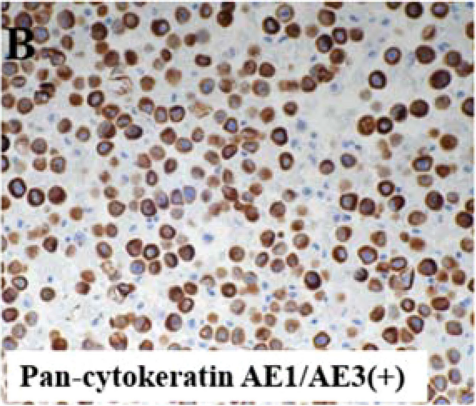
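These are tumor cells lying loosely apart from one another, each rounded with a single round blue nucleus. The cytoplasm around each nucleus is stained a strong brown, often densest as a ring at the cell's edge. Between the tumor cells lie a few much smaller, dark blue nuclei of other cells that take no brown stain.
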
